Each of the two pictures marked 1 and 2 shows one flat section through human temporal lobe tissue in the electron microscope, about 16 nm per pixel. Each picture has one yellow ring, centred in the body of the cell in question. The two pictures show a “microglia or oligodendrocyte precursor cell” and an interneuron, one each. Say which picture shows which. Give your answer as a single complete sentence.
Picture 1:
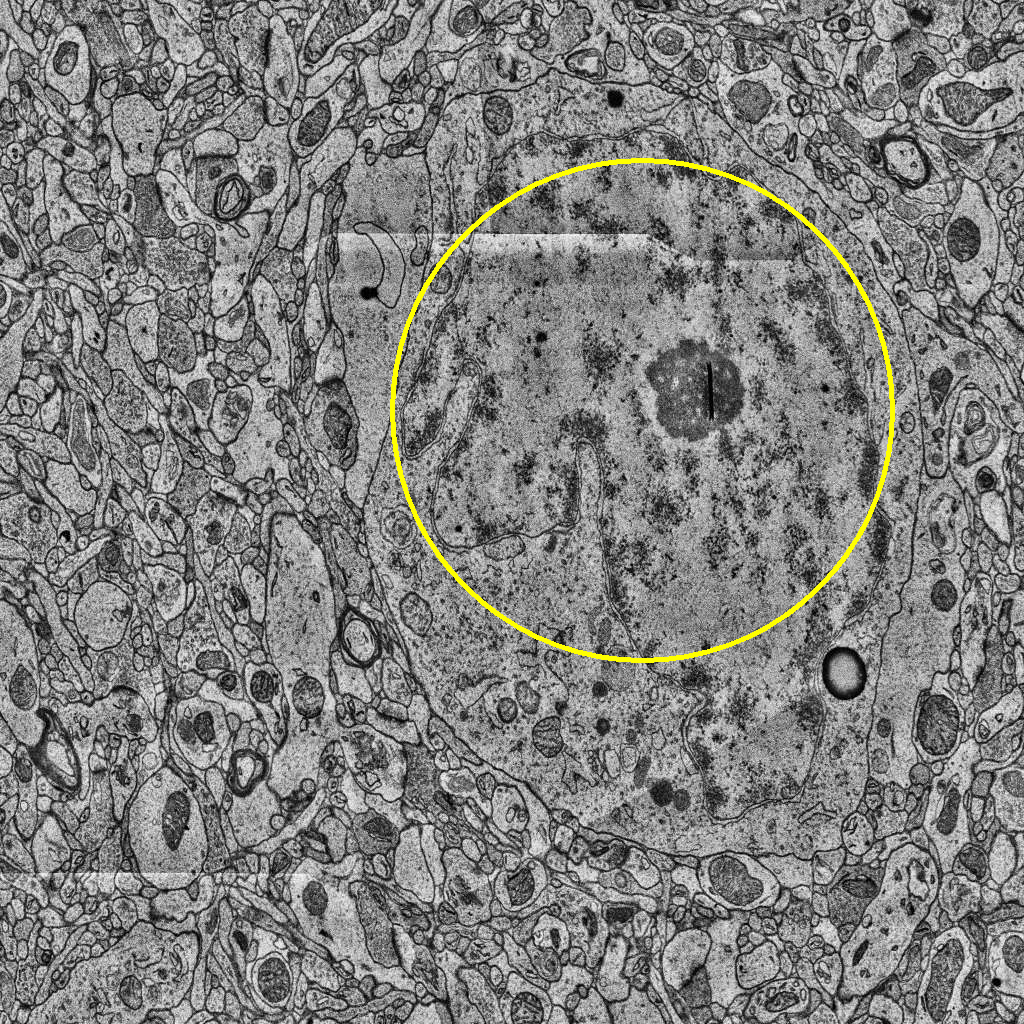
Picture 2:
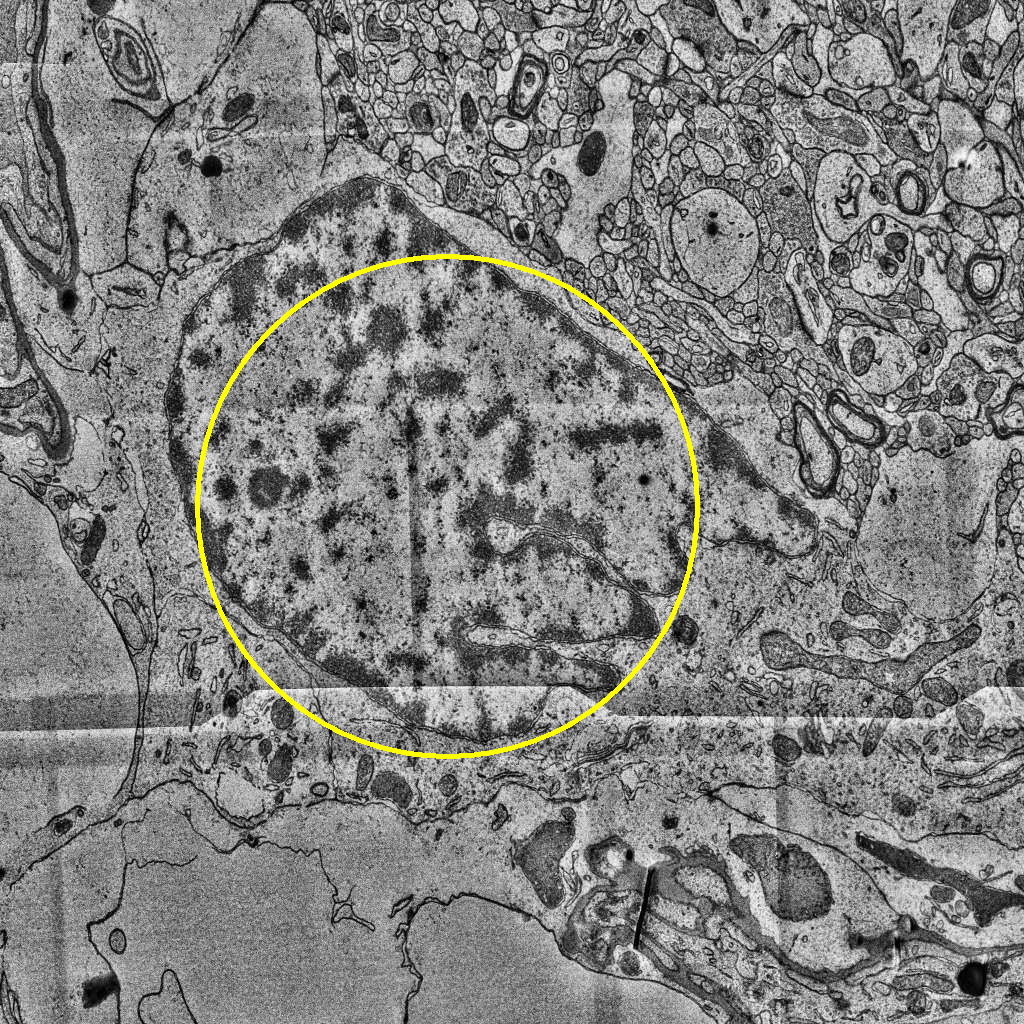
Picture 1 is of an interneuron, and picture 2 is of a “microglia or oligodendrocyte precursor cell”.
